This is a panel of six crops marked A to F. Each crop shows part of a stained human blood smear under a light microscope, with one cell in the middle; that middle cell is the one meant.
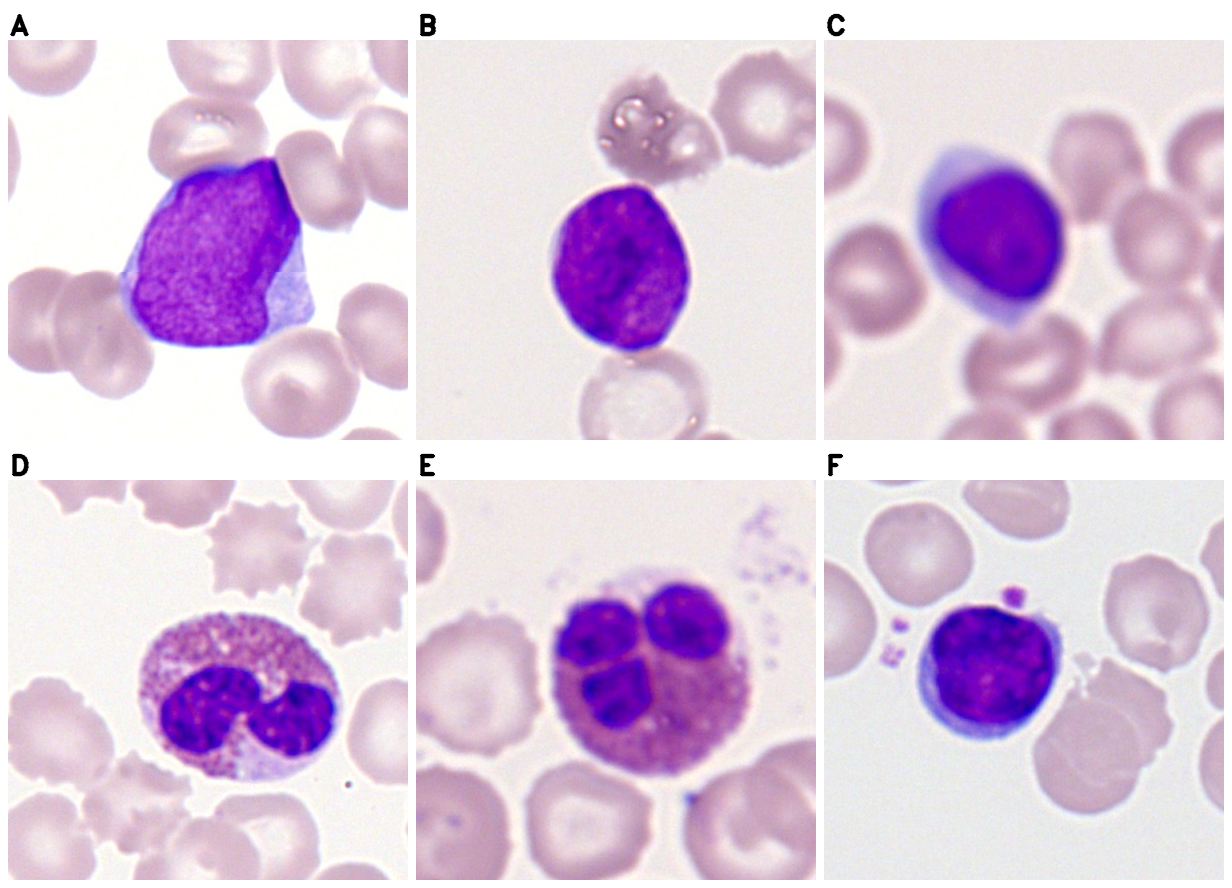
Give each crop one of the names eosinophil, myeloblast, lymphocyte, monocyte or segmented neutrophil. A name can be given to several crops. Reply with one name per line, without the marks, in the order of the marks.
myeloblast
myeloblast
lymphocyte
eosinophil
eosinophil
lymphocyte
